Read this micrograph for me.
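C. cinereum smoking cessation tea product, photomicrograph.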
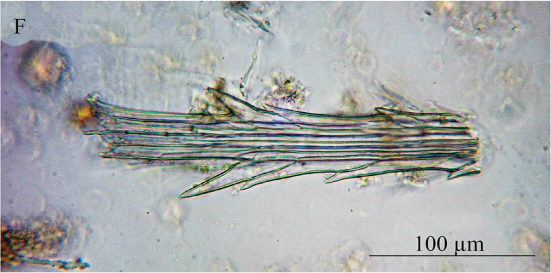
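A single bundle of long, narrow, thick-walled colourless cells lies side by side in parallel, forming a flattened strand. Along both edges and at one end, the tips of individual cells diverge from the bundle as sharp, tapering points, giving a barbed outline. No nuclei or contents are visible; the cells appear as empty walls.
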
